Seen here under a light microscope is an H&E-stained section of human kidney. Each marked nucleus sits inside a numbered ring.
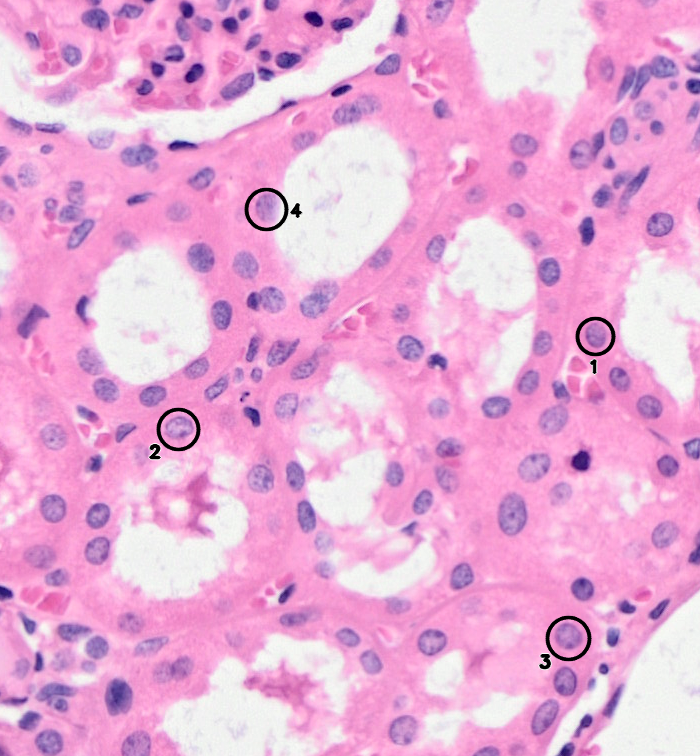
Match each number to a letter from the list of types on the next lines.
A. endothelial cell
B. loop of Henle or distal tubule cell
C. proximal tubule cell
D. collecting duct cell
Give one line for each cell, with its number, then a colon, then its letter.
1: C
2: C
3: C
4: B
